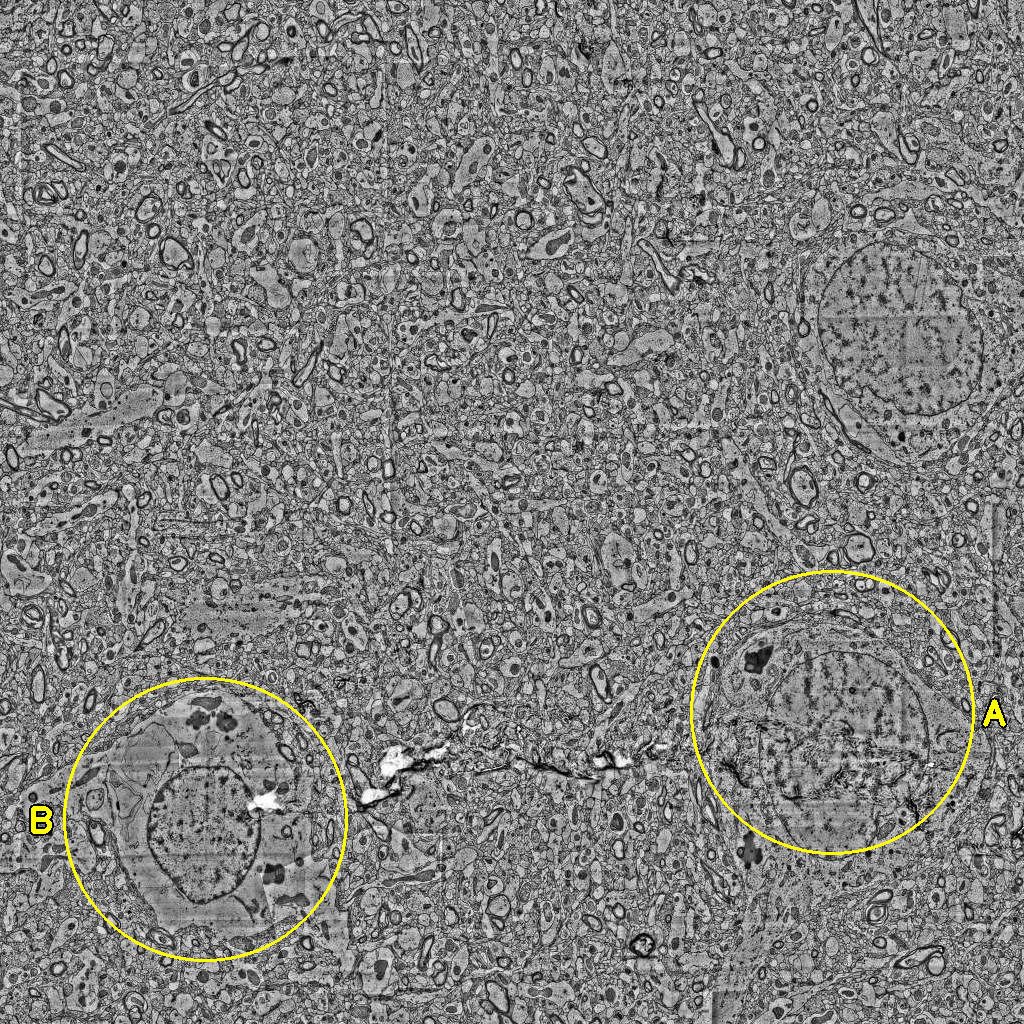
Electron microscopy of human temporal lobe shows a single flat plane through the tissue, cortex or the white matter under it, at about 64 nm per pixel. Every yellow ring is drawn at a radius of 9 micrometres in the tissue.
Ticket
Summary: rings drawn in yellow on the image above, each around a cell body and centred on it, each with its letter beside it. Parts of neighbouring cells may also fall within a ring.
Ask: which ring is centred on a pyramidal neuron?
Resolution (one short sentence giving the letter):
The ring marked A is centred on it.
